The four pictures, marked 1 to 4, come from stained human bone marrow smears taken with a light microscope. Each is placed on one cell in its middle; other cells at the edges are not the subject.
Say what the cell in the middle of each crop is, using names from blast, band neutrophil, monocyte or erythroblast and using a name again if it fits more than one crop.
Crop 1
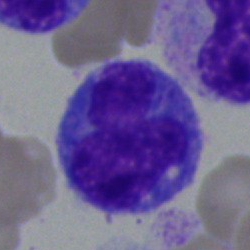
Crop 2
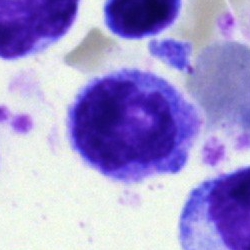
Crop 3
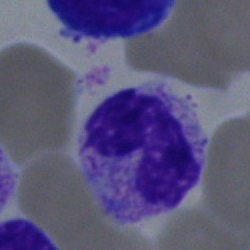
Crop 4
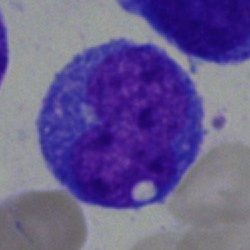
1: monocyte
2: monocyte
3: band neutrophil
4: blast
